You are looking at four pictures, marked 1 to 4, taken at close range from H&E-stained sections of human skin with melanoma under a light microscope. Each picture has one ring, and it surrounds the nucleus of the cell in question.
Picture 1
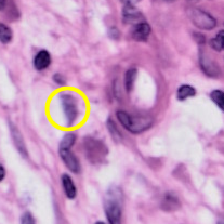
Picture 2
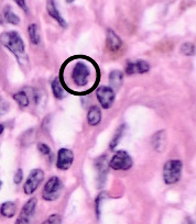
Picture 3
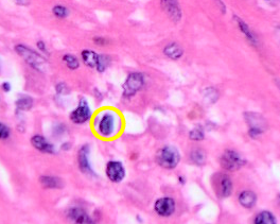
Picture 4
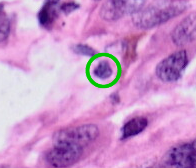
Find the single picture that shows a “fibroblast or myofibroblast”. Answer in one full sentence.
Picture 1 is the one that shows the “fibroblast or myofibroblast”.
